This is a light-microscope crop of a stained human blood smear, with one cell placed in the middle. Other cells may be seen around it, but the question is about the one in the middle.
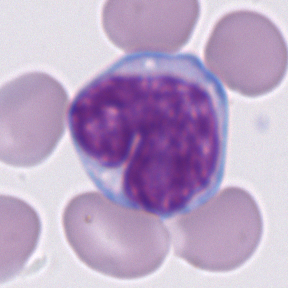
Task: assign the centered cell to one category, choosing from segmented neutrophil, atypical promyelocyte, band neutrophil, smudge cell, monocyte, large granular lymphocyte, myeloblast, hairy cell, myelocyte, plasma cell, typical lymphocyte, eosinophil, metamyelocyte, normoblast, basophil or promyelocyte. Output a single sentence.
At the middle of the frame sits a myeloblast.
